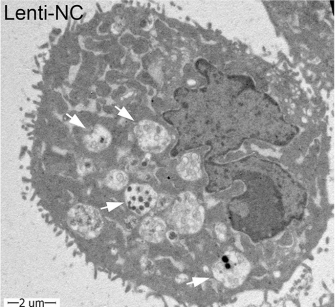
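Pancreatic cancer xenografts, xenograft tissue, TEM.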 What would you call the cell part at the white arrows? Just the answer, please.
Autophagosomes and autophagosome-fused lysosomes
